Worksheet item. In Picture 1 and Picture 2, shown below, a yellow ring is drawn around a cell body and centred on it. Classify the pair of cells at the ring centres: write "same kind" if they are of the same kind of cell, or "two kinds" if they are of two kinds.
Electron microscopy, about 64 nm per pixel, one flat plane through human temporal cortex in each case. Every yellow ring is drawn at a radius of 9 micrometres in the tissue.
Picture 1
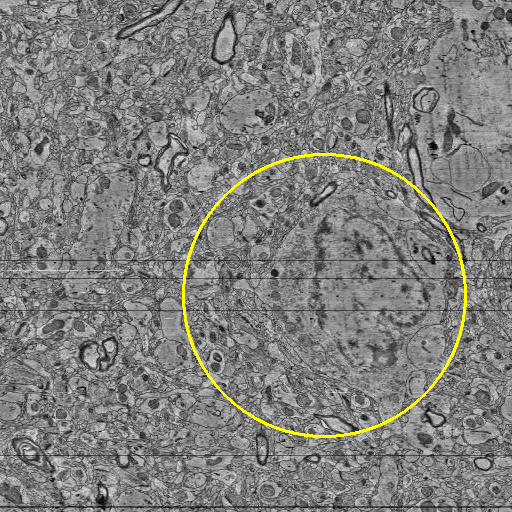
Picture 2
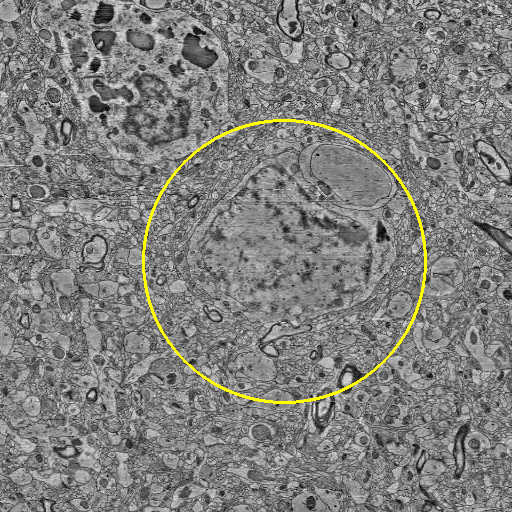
same kind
